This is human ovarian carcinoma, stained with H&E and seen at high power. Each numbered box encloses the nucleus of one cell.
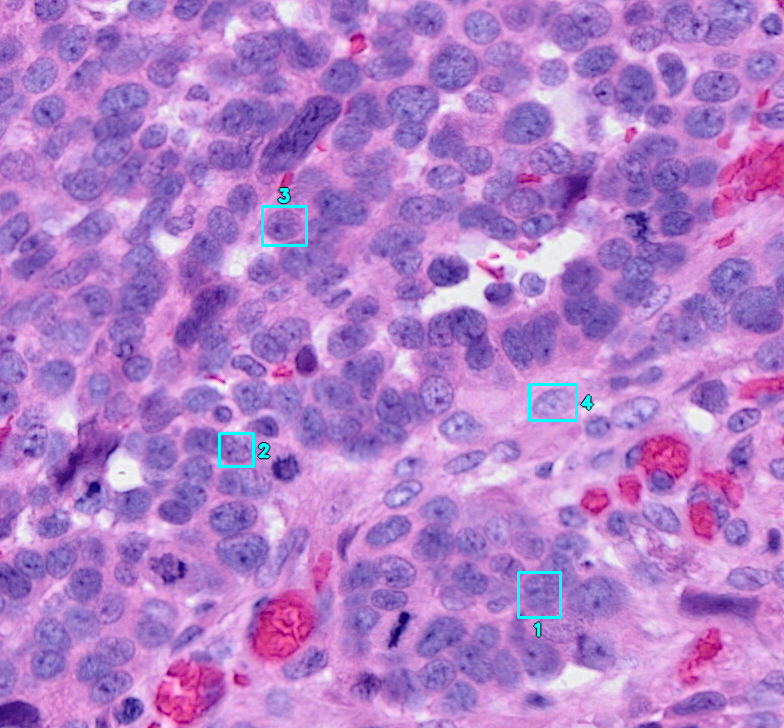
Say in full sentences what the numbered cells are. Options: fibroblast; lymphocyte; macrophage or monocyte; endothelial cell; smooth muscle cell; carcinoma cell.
Cells 1, 2 and 3 are carcinoma cells. Cell 4 is a fibroblast.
